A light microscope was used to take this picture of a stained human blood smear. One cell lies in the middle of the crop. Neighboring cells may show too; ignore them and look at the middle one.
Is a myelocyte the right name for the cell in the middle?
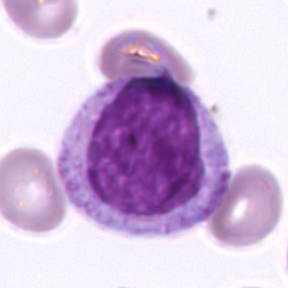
yes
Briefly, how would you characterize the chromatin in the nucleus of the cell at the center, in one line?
What stands out is fine chromatin lacking any coarse clumps.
